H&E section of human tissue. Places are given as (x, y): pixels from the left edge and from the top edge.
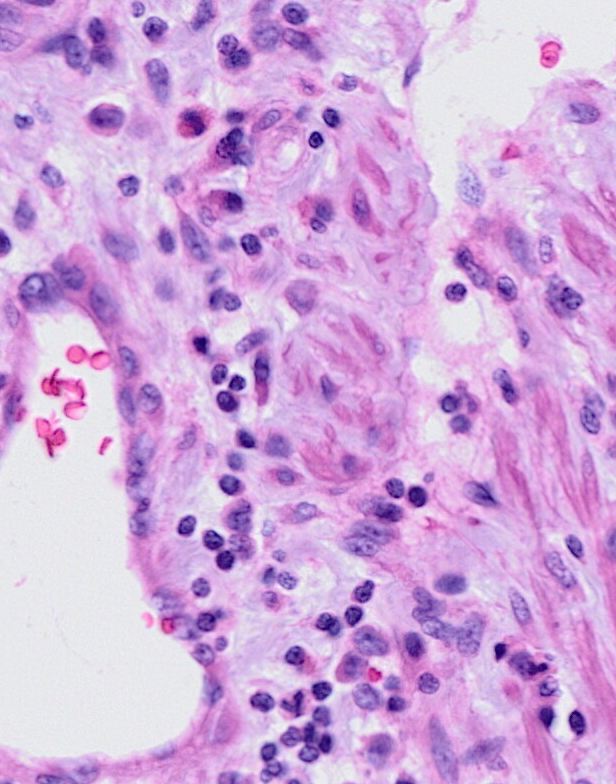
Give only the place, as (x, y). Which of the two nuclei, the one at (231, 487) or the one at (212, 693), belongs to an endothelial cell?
(212, 693)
